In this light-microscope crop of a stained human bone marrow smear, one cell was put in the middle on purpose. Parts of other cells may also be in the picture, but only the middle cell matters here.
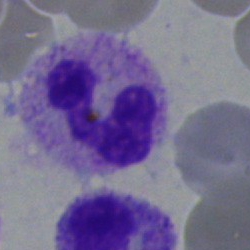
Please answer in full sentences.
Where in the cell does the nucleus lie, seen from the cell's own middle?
The nucleus sits off-centre, toward the lower right.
